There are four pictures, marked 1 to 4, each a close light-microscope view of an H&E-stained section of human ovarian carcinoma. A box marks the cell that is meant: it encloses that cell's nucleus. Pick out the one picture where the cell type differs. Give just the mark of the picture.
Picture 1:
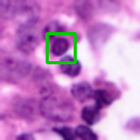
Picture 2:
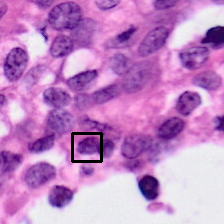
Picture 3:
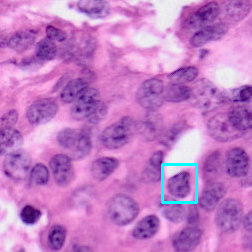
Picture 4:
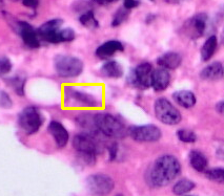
3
